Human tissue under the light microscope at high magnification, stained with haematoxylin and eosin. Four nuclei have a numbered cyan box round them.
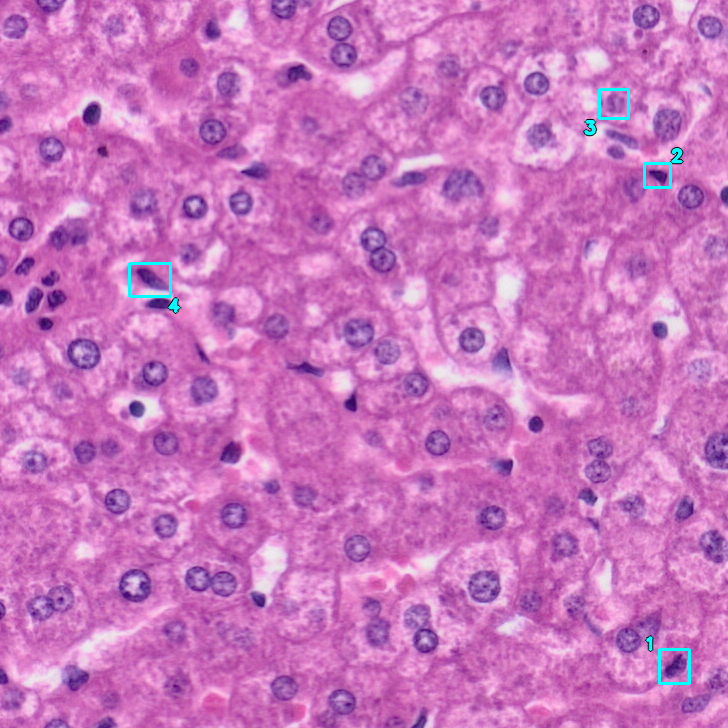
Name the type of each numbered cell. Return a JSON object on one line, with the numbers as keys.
{"1": "fibroblast or stellate cell", "2": "fibroblast or stellate cell", "3": "hepatocyte", "4": "Kupffer cell"}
